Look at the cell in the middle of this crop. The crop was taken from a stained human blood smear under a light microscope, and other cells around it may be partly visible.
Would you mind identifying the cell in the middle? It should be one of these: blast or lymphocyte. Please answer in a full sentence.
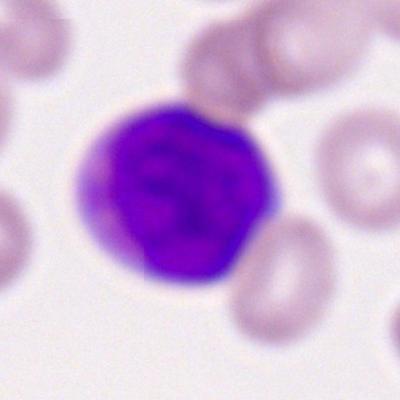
Of the cells in this crop, the central one is a blast.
